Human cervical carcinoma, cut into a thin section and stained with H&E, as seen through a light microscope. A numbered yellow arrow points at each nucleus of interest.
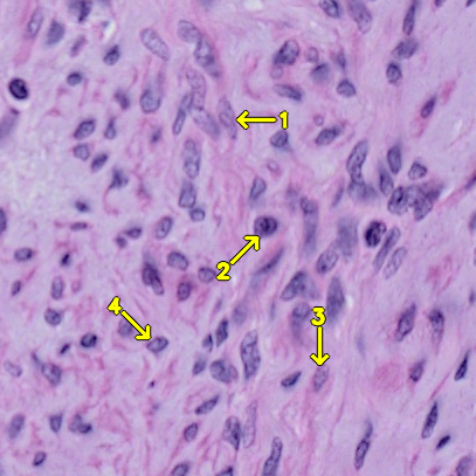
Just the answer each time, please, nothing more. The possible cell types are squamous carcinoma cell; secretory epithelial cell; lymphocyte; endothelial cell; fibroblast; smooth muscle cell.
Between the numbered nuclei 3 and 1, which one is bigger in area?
1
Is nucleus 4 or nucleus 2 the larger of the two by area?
2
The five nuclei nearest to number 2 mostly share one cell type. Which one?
smooth muscle cell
